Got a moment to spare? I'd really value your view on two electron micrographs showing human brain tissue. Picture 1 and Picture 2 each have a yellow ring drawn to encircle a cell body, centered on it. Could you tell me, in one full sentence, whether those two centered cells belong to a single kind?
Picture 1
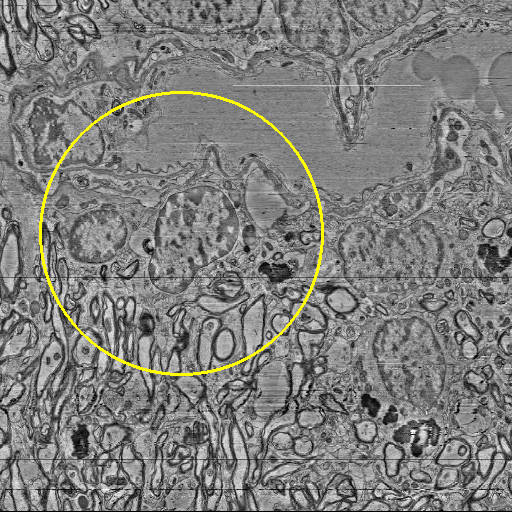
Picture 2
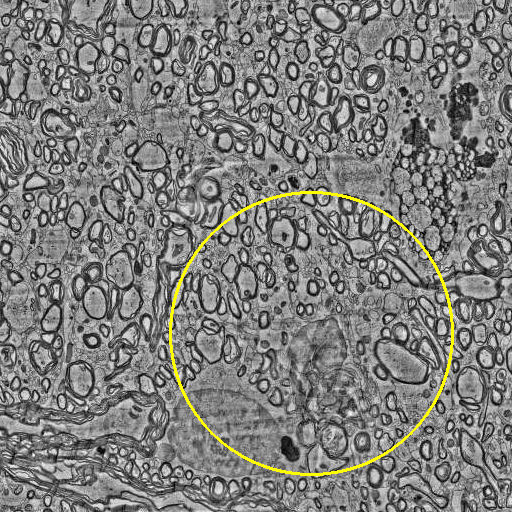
Yes, the two centered cells in Picture 1 and Picture 2 are of a single kind.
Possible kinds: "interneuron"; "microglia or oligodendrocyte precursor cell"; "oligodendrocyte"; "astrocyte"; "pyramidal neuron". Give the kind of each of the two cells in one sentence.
In both pictures the ring is centred on a microglial cell or oligodendrocyte precursor cell.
